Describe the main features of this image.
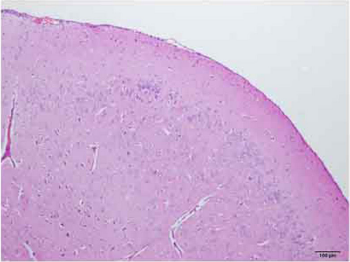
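This is a section of cerebral cortex at its outer surface, stained pink with scattered purple nuclei. The pale pink neuropil holds small, evenly spread nuclei, somewhat more crowded in a band a short way below the surface. A few thin blood vessels run through the tissue as narrow channels.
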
